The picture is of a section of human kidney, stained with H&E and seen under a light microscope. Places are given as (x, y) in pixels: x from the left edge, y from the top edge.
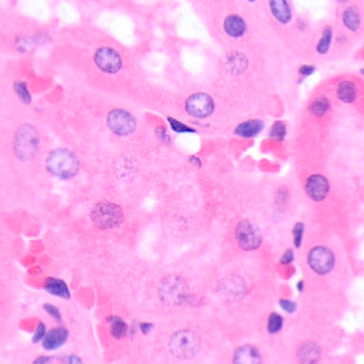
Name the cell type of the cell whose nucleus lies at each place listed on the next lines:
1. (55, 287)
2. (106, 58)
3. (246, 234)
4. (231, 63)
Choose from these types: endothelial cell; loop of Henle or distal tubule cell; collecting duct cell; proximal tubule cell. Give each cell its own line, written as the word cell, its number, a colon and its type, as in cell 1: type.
cell 1: endothelial cell
cell 2: proximal tubule cell
cell 3: proximal tubule cell
cell 4: proximal tubule cell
